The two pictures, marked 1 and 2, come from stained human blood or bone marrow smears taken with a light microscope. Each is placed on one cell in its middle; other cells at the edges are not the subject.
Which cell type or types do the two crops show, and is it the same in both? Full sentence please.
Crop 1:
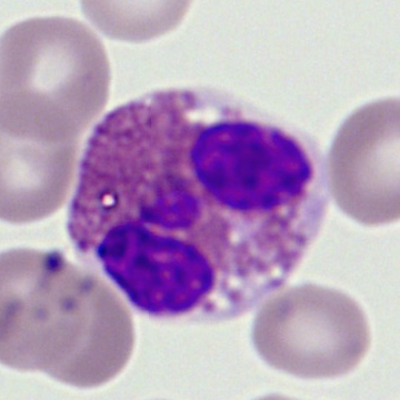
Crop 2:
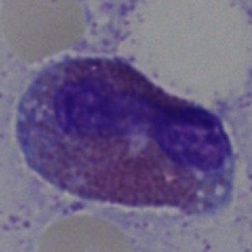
Yes, the cells under consideration in both crops are eosinophils.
